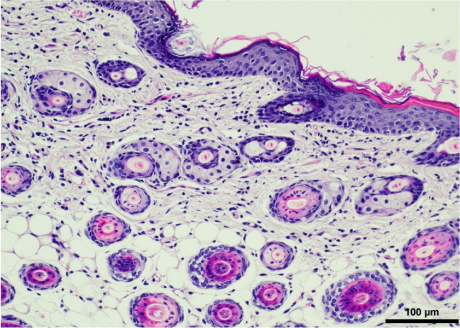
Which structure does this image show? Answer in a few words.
hair follicles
